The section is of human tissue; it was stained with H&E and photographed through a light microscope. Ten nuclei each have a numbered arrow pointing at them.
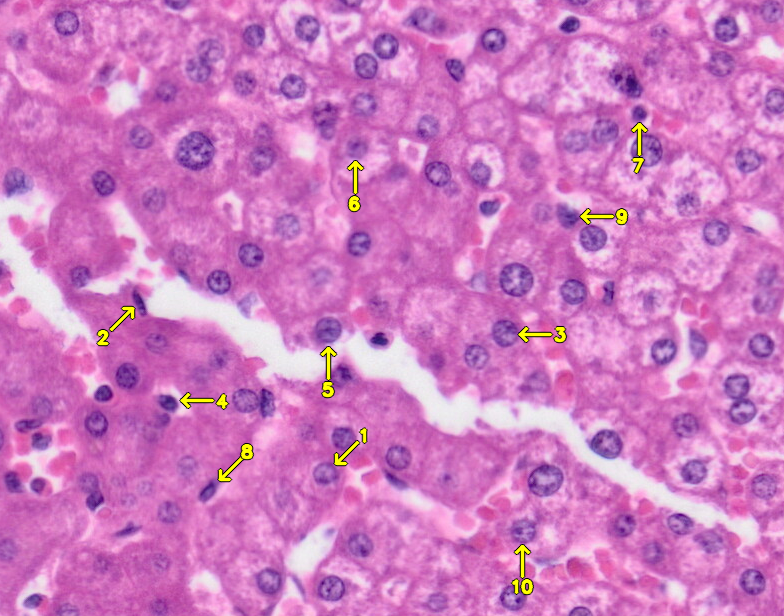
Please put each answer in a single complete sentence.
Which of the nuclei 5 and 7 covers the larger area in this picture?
The larger nucleus is 5, at roughly 3 times the area of 7.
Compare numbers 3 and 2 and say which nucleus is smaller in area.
Nucleus 2 covers less area, with nucleus 3 about 2 times as large.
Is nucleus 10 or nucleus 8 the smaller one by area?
It is nucleus 8; nucleus 10 has about 1.5 times its area.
